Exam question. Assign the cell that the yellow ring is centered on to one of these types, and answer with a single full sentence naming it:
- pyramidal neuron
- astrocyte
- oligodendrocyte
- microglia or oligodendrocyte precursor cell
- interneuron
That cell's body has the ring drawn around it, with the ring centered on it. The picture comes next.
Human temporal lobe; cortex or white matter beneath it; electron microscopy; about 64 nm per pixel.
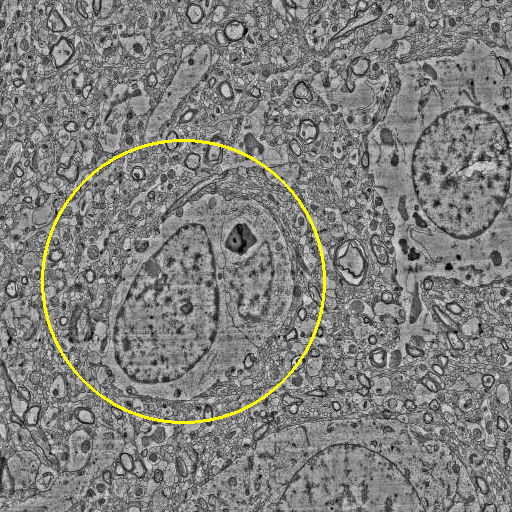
In the micrograph, the cell the yellow ring is centered on is a microglial cell or oligodendrocyte precursor cell.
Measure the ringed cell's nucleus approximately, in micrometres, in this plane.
Roughly 11 by 6 micrometres; in this plane, clearly longer than it is wide.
